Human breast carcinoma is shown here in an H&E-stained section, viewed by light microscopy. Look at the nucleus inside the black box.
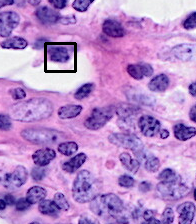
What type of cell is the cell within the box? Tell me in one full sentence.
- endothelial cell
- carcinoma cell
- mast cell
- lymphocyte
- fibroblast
Speaking plainly, the cell within the box is nothing other than a lymphocyte.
